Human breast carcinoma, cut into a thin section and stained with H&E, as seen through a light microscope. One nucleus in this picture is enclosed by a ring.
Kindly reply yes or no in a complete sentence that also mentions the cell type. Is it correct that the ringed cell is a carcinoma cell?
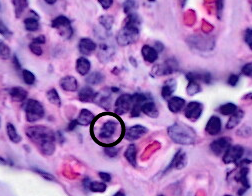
No, the identity of the ringed cell is a lymphocyte, not a carcinoma cell.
